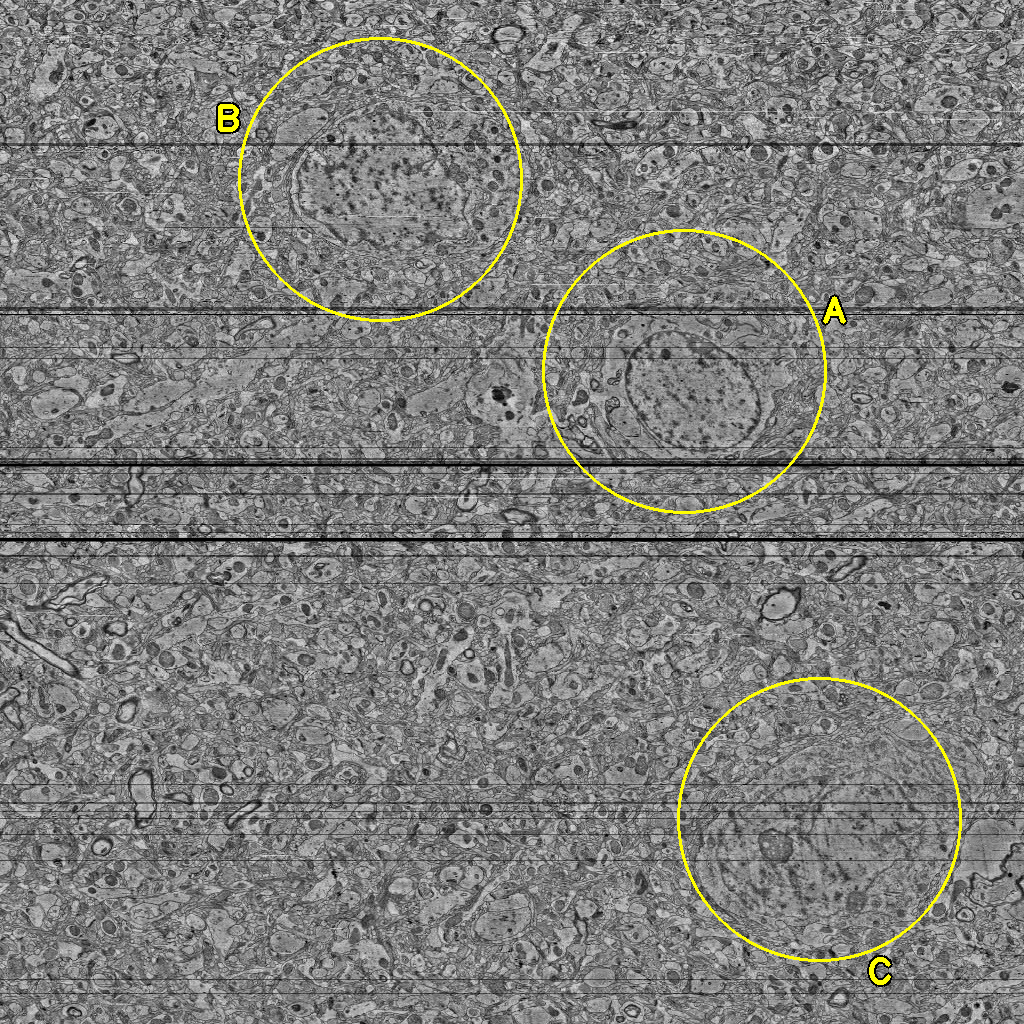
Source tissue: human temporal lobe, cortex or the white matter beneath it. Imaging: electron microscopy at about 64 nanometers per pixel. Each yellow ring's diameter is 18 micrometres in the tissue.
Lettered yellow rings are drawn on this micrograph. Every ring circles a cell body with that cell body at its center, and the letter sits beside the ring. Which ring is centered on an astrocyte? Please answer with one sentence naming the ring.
Ring A has it at its center.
